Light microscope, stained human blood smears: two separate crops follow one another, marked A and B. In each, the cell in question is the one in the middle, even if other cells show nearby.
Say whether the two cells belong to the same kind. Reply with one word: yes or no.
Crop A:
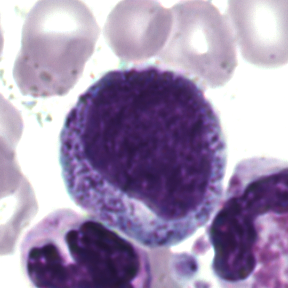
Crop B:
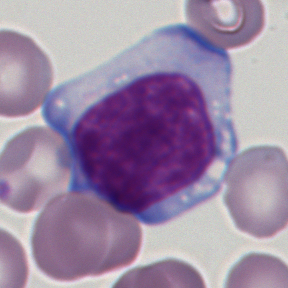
no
